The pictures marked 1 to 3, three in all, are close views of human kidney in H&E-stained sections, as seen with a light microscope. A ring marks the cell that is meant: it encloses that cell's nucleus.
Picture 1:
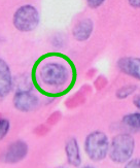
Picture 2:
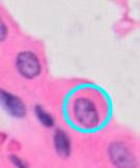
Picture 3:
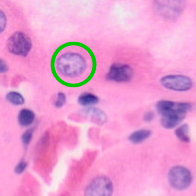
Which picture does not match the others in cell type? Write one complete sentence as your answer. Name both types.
The others show proximal tubule cells, but picture 1 shows a collecting duct cell.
